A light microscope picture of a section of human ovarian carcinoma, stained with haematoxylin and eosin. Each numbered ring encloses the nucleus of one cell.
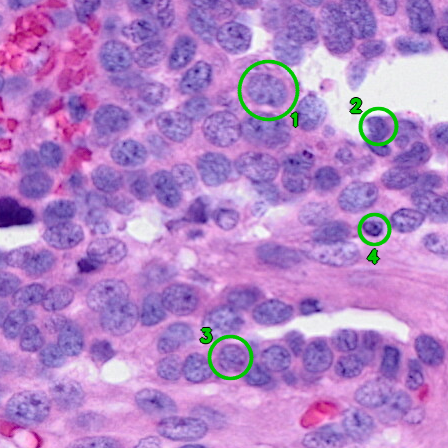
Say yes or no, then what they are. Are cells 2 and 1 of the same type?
Yes, the cells marked 2 and 1 are both carcinoma cells.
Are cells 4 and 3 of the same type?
No, cell 4 is classed as a lymphocyte and cell 3 as a carcinoma cell.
